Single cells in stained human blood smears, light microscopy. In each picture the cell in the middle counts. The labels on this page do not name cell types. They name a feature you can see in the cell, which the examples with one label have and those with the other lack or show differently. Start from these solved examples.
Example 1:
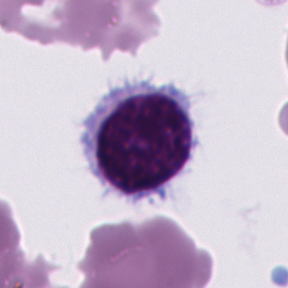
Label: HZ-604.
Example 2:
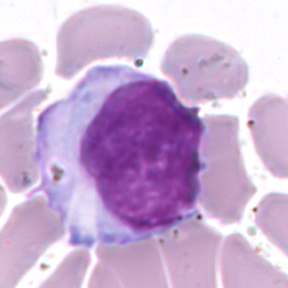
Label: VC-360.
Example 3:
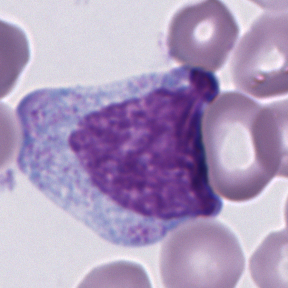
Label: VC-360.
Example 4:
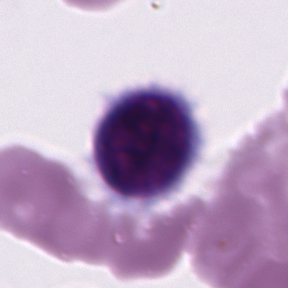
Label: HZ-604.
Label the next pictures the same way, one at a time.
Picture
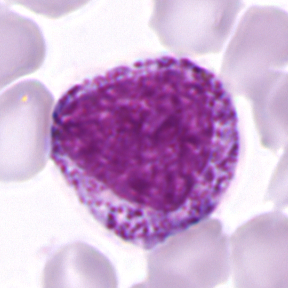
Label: HZ-604.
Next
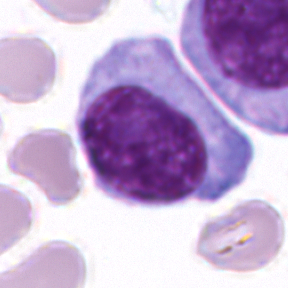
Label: VC-360.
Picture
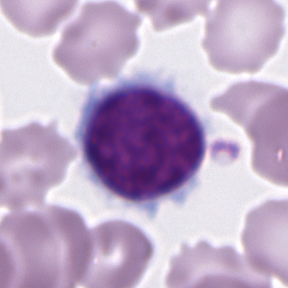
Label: HZ-604.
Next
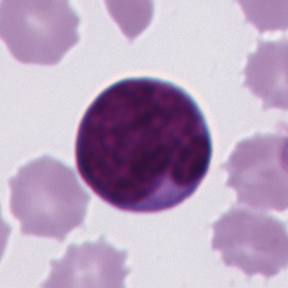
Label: HZ-604.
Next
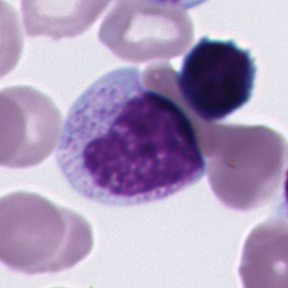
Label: VC-360.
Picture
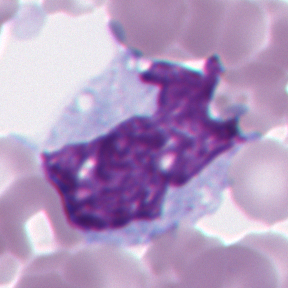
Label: HZ-604.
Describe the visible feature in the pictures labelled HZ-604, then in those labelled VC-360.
HZ-604: scant cytoplasm; VC-360: abundant cytoplasm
